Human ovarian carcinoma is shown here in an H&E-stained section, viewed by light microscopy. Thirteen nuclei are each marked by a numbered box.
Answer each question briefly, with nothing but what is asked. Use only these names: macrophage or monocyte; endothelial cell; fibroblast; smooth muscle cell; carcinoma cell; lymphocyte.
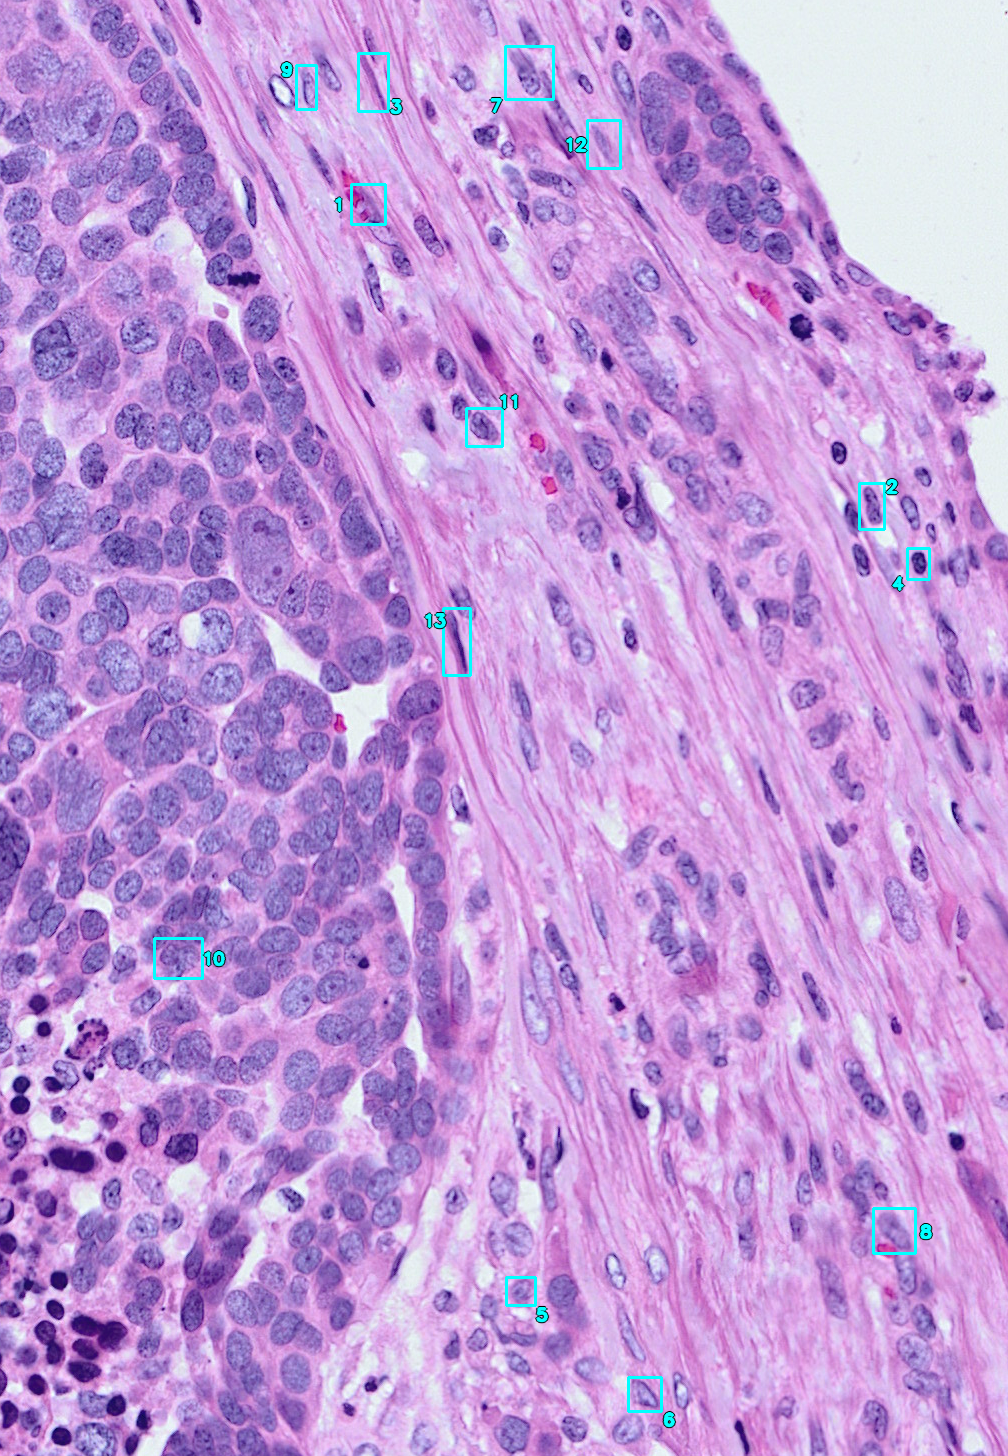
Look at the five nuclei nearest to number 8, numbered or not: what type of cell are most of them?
endothelial cell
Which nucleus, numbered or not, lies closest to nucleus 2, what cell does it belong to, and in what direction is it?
a macrophage or monocyte, below and to the left of nucleus 2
